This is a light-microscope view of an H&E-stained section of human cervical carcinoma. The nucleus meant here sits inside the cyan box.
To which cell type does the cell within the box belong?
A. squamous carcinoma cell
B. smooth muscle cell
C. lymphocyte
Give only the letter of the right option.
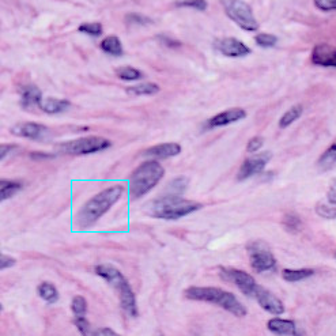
B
